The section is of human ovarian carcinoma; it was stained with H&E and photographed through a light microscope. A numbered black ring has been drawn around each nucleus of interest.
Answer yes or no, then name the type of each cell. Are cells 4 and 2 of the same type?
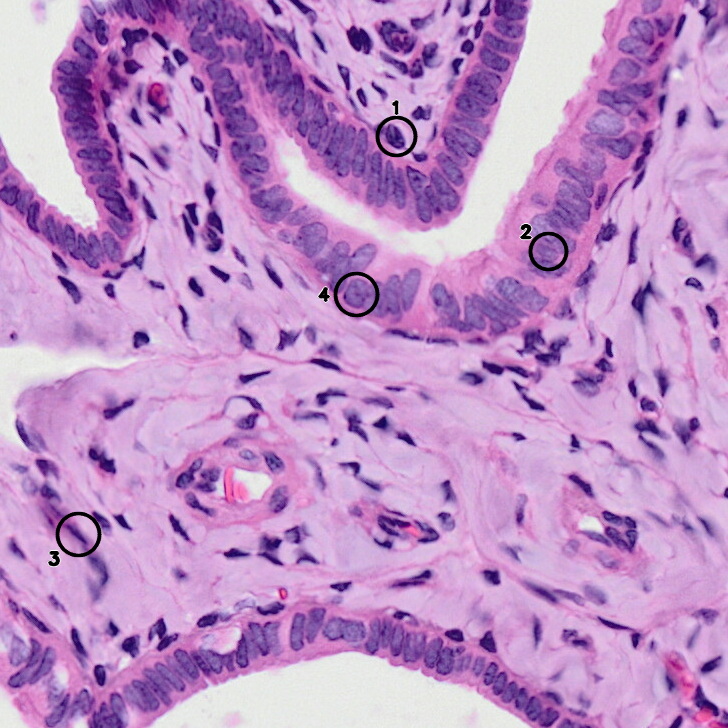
Yes, cells 4 and 2 both belong to the category of carcinoma cells.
